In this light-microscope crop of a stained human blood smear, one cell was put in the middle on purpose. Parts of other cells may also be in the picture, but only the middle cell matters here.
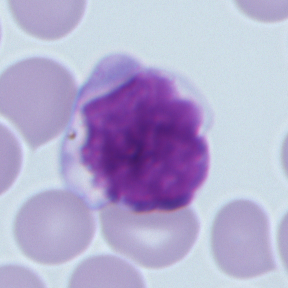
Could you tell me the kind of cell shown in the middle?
large granular lymphocyte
